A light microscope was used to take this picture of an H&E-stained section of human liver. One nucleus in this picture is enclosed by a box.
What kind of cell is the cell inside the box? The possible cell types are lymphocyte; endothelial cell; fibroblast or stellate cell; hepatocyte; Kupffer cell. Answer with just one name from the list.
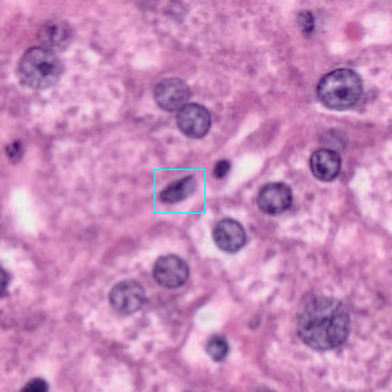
endothelial cell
